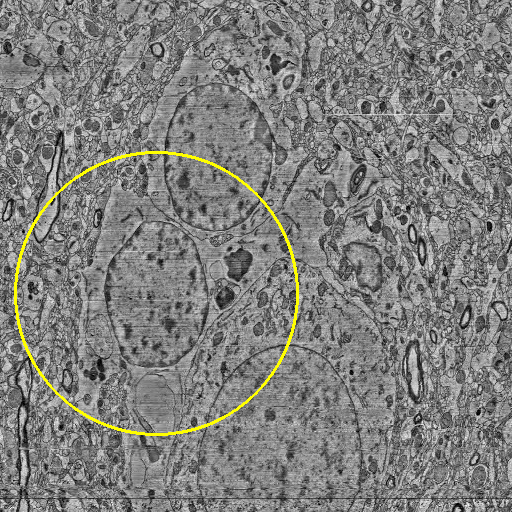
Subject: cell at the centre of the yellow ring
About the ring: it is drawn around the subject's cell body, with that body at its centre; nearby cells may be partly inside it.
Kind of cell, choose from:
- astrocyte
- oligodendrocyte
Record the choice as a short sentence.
The subject cell is an astrocyte.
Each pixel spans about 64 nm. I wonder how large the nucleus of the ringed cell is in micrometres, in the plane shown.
In this plane, roughly 10 by 7 micrometres.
